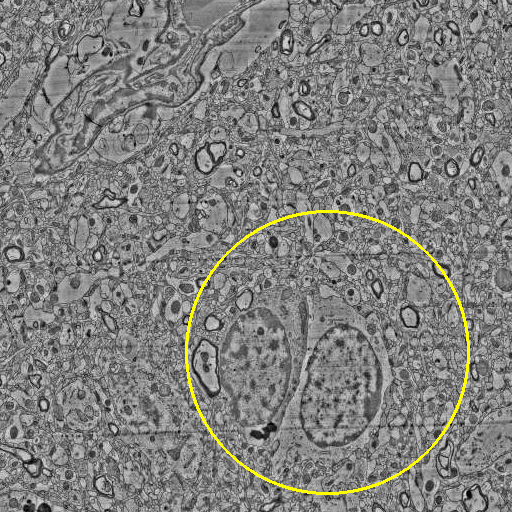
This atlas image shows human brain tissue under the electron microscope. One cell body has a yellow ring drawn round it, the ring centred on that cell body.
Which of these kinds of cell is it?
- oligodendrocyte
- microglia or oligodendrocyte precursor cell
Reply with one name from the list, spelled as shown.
microglia or oligodendrocyte precursor cell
